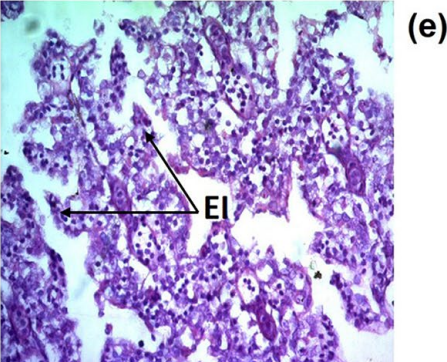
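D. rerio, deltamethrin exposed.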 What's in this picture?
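This gill tissue no longer shows the orderly comb of slender lamellae; instead the field is filled by an irregular, crowded mass of cells. Many small rounded cells with dark purple nuclei are packed throughout, separated by irregular clear spaces. Elongated strands of tissue can still be traced here and there, but they appear swollen, merged and disordered. The dense accumulation of small round cells amid the disrupted lamellae fits infiltration by erythrocytes within an abnormal tissue architecture.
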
